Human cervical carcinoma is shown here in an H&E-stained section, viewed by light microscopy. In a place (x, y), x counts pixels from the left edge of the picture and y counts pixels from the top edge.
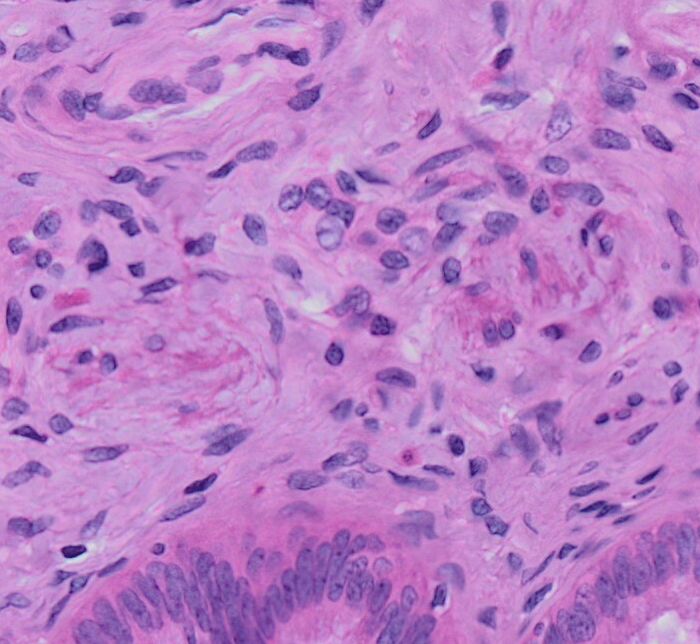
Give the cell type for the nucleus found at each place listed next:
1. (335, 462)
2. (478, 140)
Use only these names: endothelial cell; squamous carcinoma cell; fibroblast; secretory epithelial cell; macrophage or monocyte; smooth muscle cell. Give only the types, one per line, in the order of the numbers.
fibroblast
smooth muscle cell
